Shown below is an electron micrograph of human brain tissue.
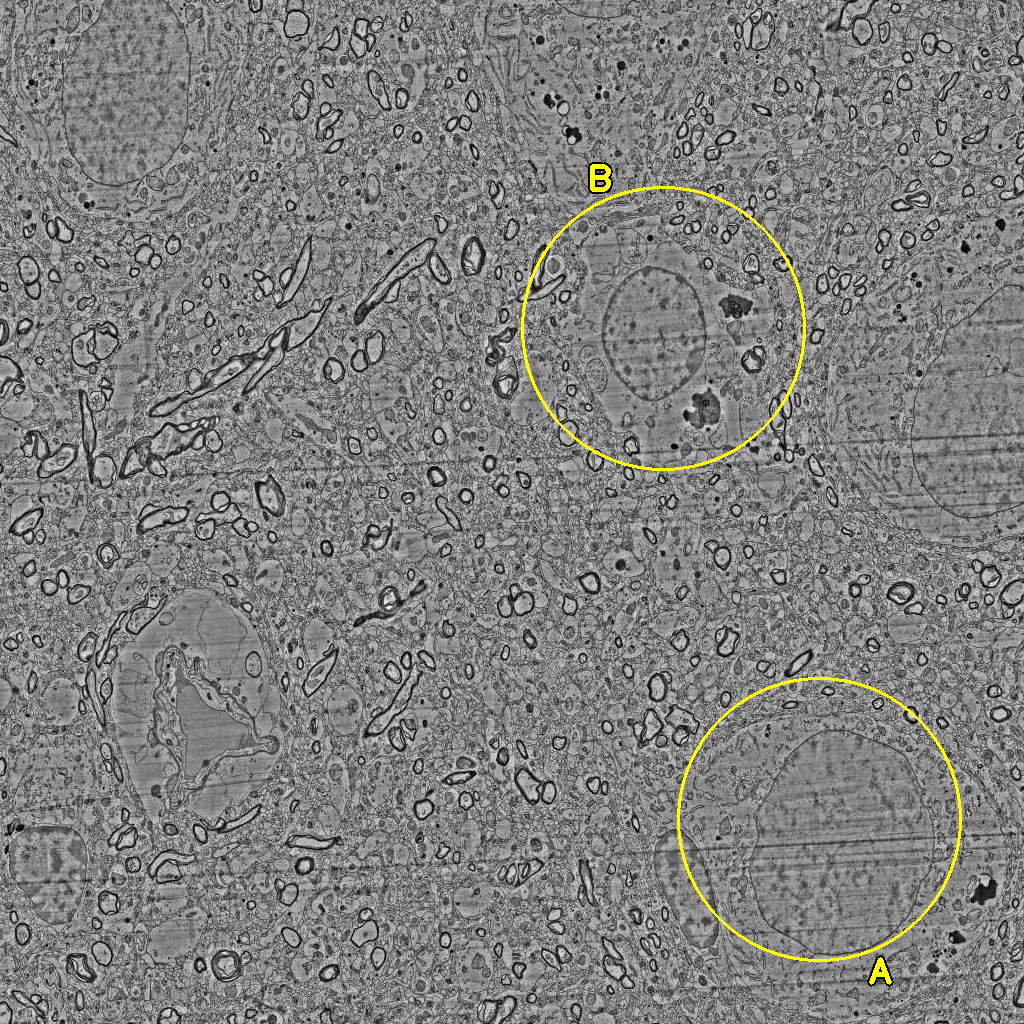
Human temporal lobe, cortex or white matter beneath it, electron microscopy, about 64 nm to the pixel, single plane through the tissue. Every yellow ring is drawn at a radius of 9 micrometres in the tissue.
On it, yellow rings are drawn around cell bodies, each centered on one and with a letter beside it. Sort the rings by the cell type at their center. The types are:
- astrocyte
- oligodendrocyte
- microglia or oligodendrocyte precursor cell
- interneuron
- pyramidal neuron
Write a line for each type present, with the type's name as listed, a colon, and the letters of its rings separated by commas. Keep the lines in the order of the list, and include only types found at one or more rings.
astrocyte: B
pyramidal neuron: A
